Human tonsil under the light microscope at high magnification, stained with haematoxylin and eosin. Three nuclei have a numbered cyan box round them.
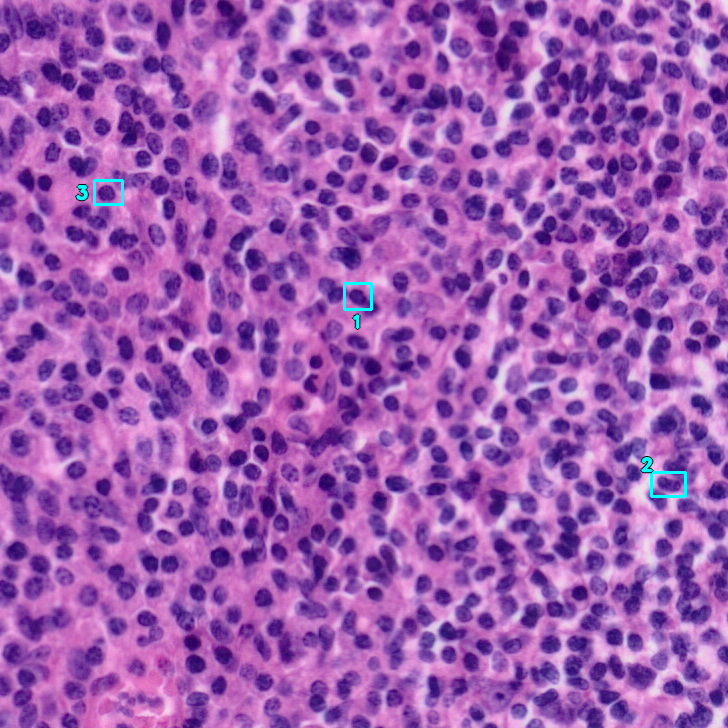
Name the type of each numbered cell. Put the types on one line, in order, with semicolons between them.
plasma cell; small lymphocyte; plasma cell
